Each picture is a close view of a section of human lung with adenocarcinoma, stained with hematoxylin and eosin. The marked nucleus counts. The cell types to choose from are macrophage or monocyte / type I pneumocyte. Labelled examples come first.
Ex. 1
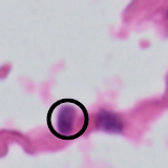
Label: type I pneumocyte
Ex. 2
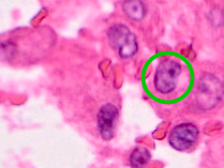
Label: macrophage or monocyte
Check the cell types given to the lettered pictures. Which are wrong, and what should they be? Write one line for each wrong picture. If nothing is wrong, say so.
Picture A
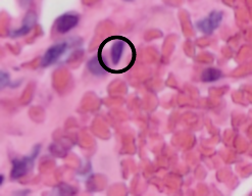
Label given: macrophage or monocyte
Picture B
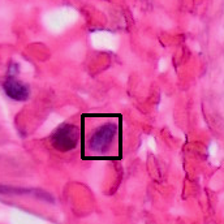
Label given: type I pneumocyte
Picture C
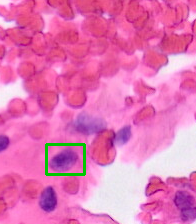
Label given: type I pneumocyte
A is labelled macrophage or monocyte; correct label: type I pneumocyte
